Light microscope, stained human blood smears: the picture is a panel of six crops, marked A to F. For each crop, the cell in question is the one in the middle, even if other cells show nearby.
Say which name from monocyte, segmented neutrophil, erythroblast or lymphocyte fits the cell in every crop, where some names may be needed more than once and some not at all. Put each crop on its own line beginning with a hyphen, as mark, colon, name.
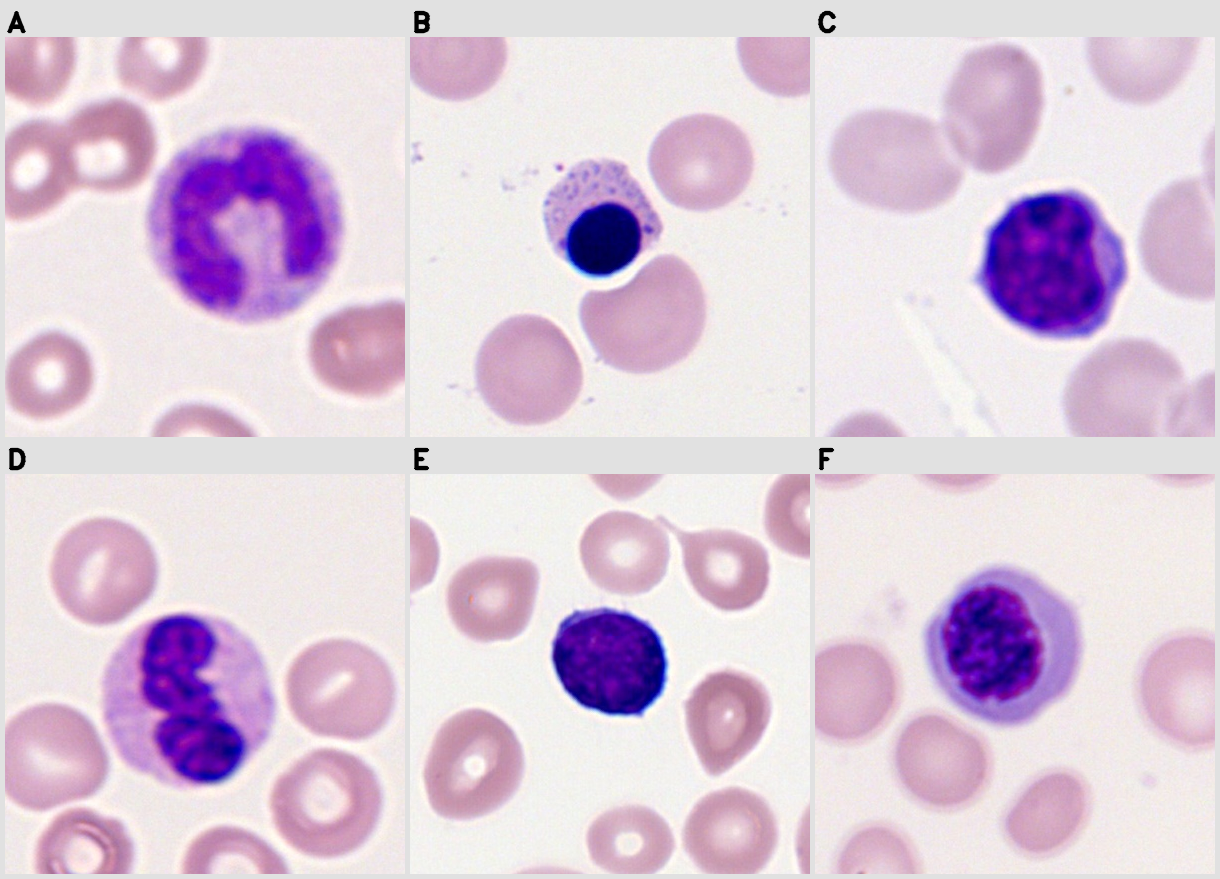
- A: segmented neutrophil
- B: erythroblast
- C: lymphocyte
- D: segmented neutrophil
- E: lymphocyte
- F: erythroblast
